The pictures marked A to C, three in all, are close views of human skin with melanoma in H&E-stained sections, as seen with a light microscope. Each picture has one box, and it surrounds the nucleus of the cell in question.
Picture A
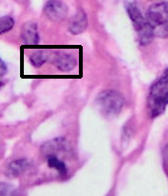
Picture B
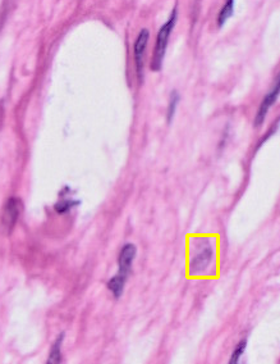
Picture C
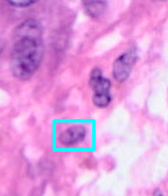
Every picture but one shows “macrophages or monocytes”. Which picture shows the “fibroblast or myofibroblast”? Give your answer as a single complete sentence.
Picture B shows the “fibroblast or myofibroblast”.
